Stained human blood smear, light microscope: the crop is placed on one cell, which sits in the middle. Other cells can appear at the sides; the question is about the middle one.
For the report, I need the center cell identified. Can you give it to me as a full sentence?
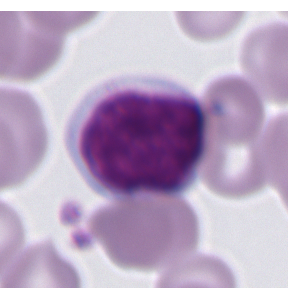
Of the cells in this crop, the central one is a large granular lymphocyte.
